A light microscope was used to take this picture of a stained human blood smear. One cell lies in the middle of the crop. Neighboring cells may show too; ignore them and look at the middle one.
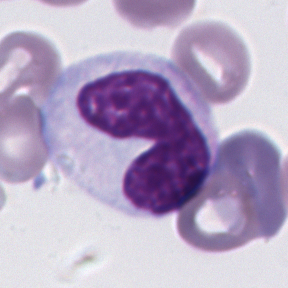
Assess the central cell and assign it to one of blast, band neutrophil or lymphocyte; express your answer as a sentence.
In the middle of this smear crop, the cell is a band neutrophil.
